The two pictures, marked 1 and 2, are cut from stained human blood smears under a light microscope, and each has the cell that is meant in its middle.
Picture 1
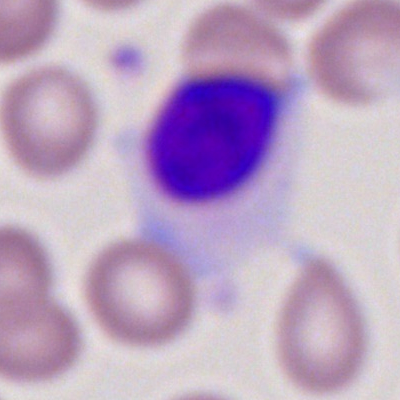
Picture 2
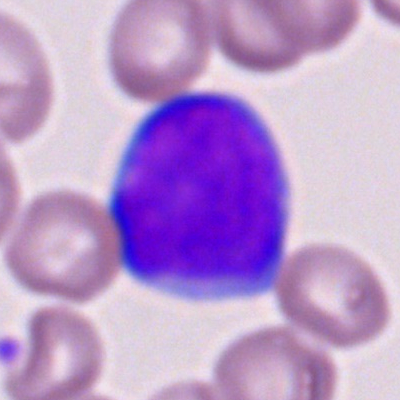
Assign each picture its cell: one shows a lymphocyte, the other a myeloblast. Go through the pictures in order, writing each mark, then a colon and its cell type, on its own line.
1: lymphocyte
2: myeloblast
